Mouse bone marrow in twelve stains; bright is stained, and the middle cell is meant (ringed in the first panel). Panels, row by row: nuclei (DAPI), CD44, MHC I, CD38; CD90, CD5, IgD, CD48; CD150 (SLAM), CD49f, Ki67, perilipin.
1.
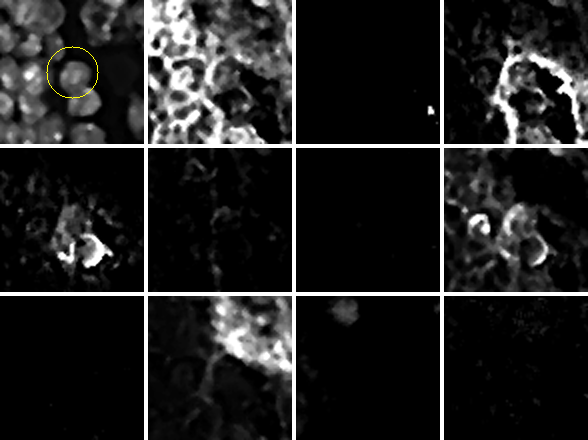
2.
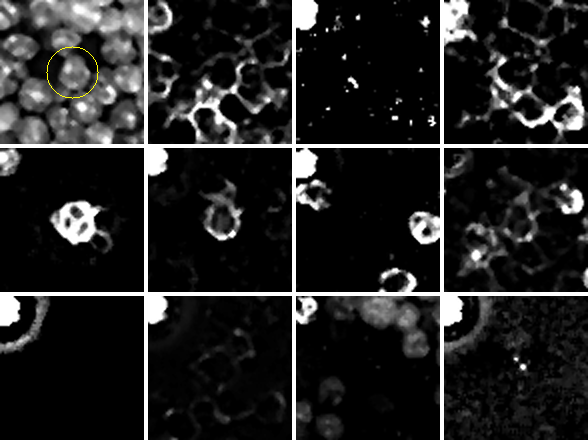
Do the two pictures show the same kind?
No: a capillary endothelial cell, then a T cell.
